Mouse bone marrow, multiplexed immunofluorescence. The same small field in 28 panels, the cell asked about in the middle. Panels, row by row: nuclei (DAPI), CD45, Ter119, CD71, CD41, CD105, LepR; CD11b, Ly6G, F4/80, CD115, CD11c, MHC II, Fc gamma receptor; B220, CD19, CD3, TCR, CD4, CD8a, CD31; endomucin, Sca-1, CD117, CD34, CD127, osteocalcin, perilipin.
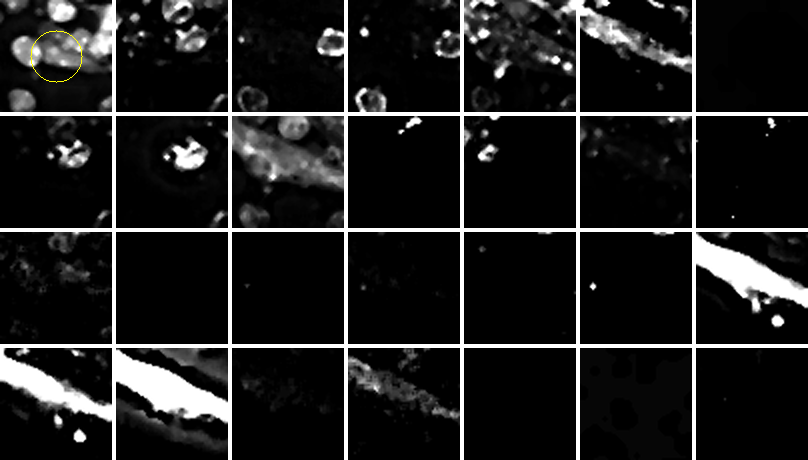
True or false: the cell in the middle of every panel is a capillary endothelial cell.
True.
